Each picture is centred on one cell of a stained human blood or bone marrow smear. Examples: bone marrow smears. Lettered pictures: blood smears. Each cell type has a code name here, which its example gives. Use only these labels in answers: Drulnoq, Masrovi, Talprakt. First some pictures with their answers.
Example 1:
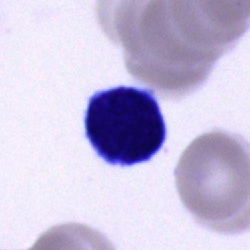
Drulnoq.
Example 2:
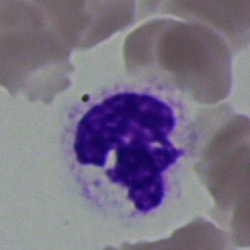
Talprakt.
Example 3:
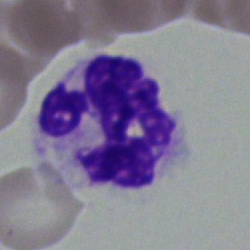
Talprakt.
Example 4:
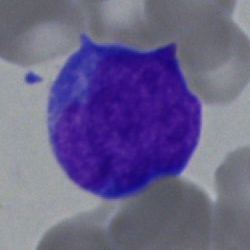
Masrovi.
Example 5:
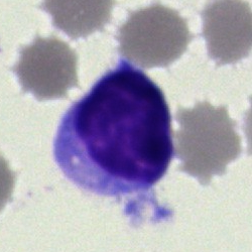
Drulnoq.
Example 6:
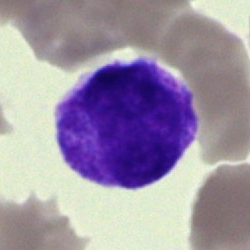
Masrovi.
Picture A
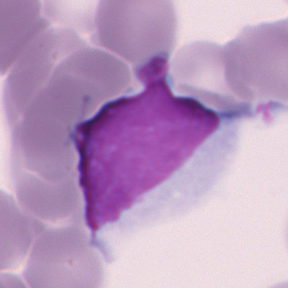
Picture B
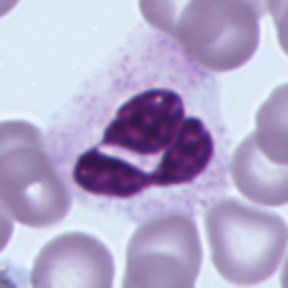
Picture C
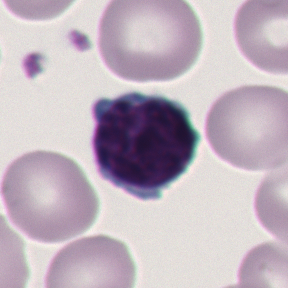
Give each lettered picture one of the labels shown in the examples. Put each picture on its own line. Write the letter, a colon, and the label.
A: Drulnoq.
B: Talprakt.
C: Drulnoq.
